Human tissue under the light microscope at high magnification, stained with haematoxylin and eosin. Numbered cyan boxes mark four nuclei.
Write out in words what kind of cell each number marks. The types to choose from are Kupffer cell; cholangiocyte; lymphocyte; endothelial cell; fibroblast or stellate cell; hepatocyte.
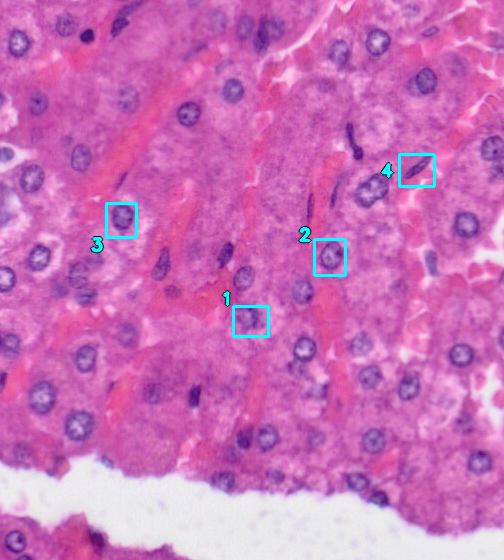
Cells 1, 2 and 3 are hepatocytes. Cell 4 is an endothelial cell.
